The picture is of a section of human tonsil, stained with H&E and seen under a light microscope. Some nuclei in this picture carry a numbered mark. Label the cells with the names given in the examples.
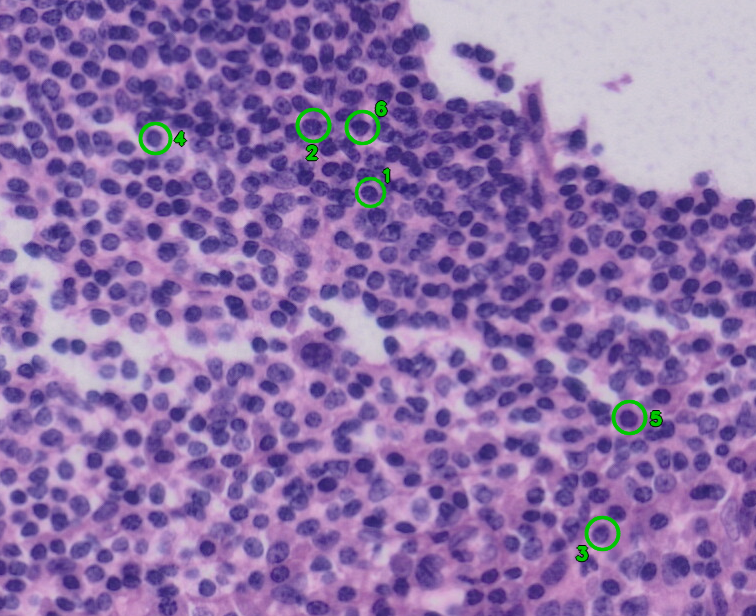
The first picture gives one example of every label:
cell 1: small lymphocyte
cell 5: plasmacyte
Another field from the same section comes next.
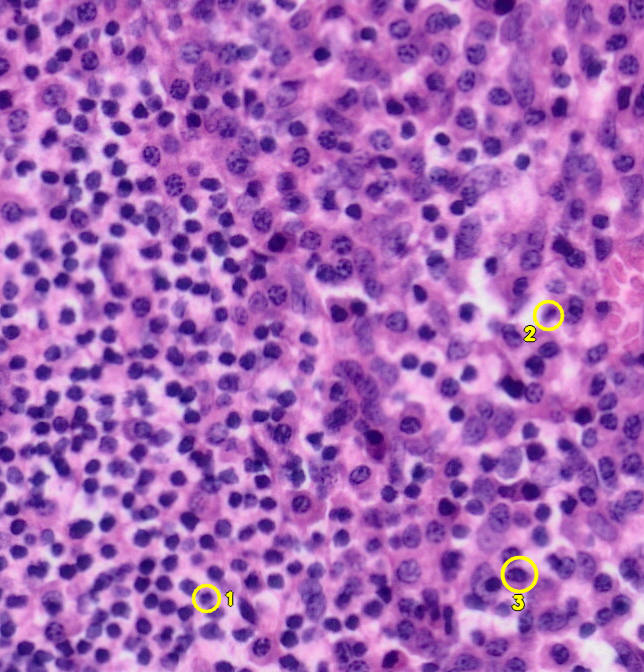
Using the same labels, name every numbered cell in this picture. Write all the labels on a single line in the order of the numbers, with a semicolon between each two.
small lymphocyte; plasmacyte; plasmacyte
